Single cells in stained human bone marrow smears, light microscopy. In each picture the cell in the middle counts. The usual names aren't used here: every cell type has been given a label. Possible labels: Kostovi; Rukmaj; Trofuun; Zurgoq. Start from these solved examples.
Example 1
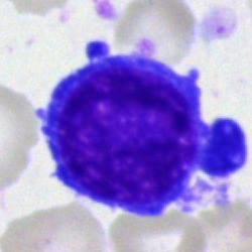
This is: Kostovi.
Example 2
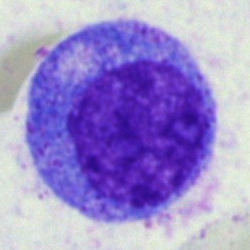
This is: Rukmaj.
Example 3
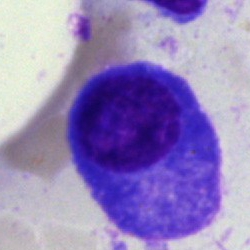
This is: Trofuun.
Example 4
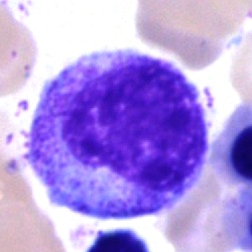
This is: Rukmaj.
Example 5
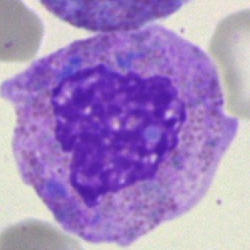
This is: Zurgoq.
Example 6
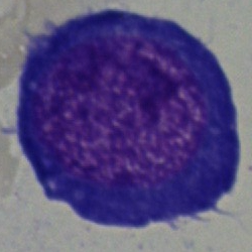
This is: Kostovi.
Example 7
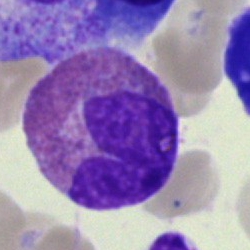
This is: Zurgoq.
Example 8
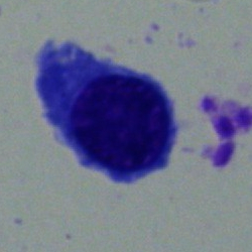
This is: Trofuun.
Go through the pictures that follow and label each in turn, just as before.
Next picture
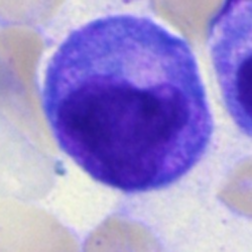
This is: Rukmaj.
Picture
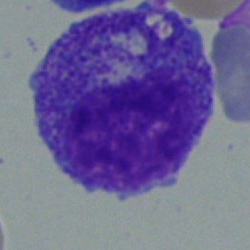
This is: Rukmaj.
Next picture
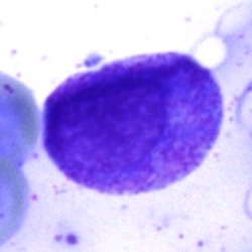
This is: Rukmaj.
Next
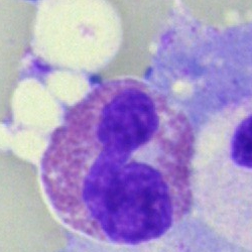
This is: Zurgoq.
